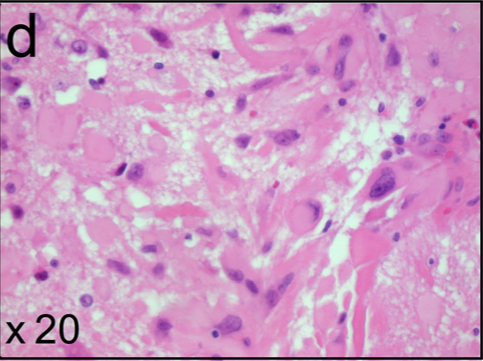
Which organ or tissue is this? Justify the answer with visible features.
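Neuroglial component. A loose pale-pink fibrillary background with many small clear vacuoles. Scattered cells with round to oval nuclei lie in the fibrillary matrix. Some cells are larger, with abundant glassy pink cytoplasm and an eccentric nucleus.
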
